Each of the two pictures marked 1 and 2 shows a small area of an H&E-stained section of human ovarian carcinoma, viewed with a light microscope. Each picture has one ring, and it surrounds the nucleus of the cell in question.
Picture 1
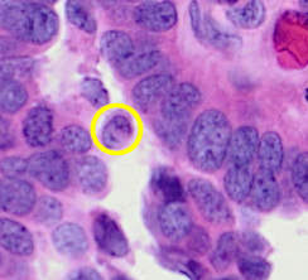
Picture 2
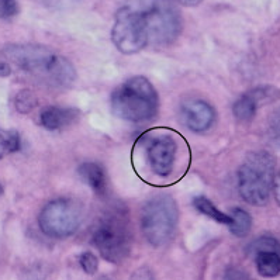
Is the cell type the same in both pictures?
yes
